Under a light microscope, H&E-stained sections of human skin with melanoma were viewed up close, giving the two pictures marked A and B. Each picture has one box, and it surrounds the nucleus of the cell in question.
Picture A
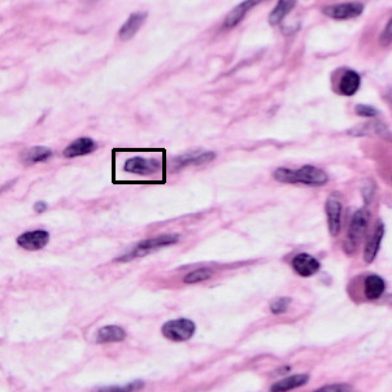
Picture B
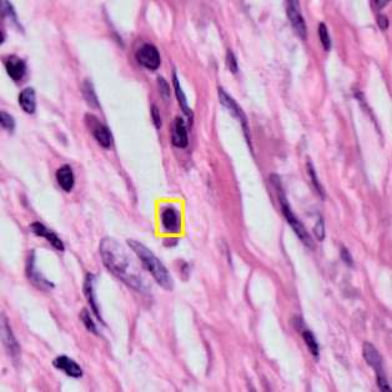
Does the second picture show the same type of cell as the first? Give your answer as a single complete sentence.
No. Picture A shows a lymphocyte, but picture B shows a plasma cell.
